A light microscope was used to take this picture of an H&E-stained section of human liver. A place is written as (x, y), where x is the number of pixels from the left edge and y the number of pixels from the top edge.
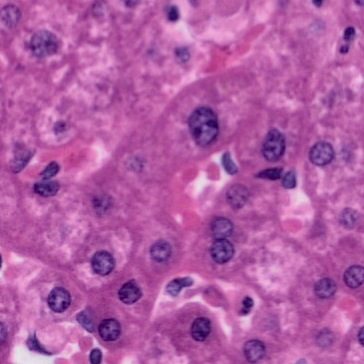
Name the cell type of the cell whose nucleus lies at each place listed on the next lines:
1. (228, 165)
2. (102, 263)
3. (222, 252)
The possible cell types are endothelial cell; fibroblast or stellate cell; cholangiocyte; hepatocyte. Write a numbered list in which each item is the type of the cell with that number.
1. endothelial cell
2. hepatocyte
3. hepatocyte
